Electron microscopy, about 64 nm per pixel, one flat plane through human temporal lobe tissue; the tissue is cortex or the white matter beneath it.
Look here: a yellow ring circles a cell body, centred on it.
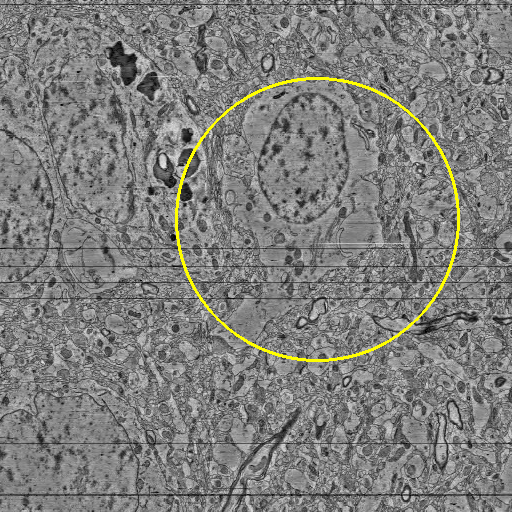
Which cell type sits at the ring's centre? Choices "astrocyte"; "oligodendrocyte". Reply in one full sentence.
The cell at the centre of the yellow ring in the picture is an astrocyte.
